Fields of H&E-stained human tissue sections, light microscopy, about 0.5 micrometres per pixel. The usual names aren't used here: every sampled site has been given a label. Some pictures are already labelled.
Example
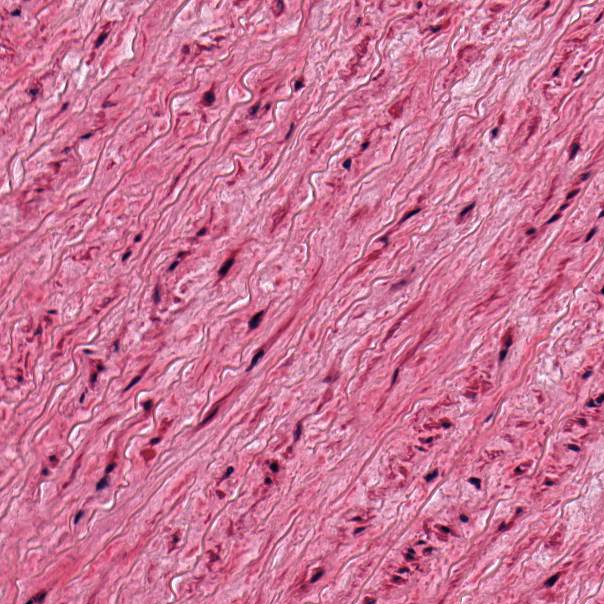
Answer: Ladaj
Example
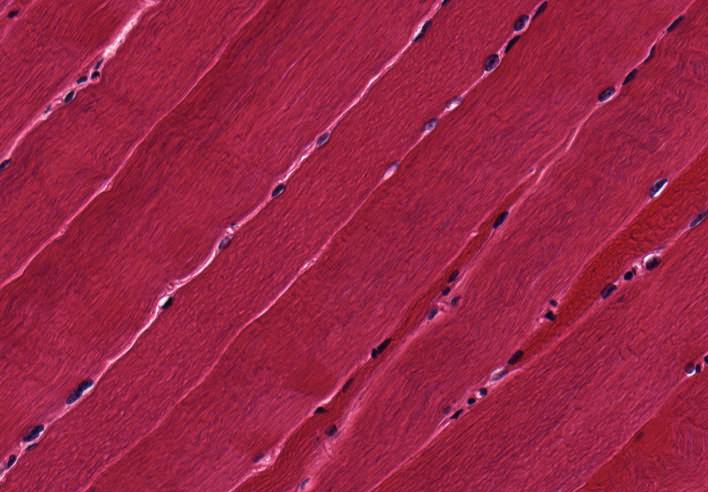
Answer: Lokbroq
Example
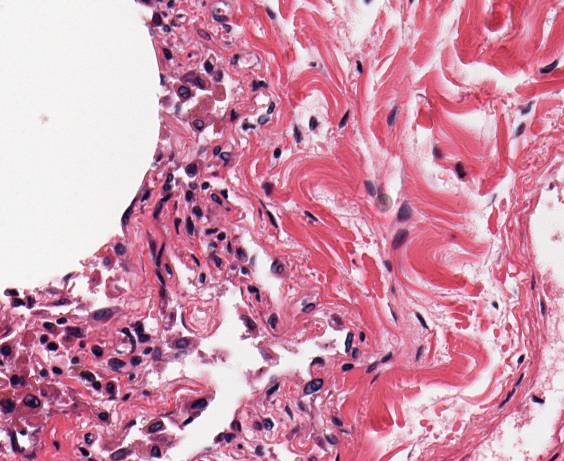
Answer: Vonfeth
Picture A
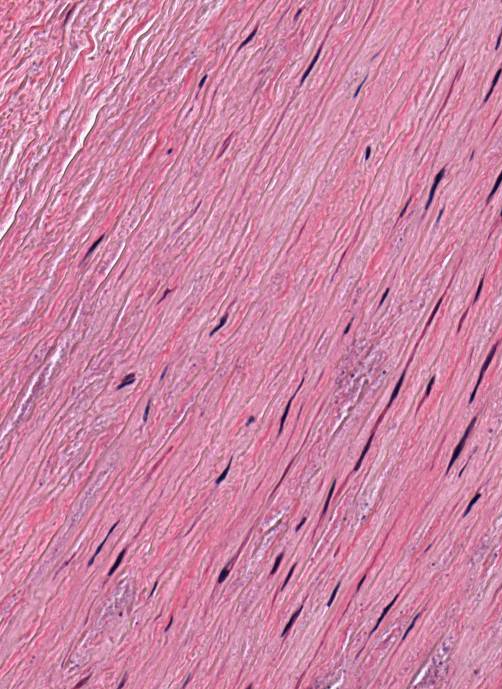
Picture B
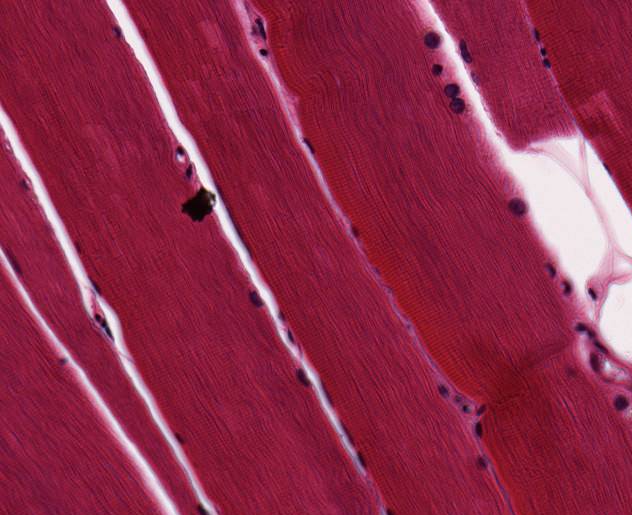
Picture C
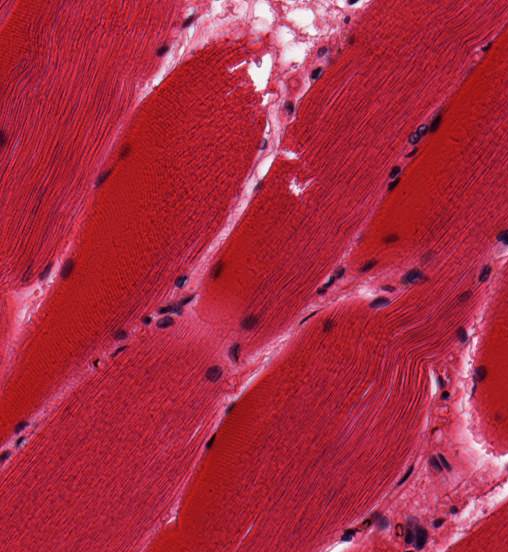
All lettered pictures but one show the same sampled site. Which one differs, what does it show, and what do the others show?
A: Ladaj; all the others: Lokbroq.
